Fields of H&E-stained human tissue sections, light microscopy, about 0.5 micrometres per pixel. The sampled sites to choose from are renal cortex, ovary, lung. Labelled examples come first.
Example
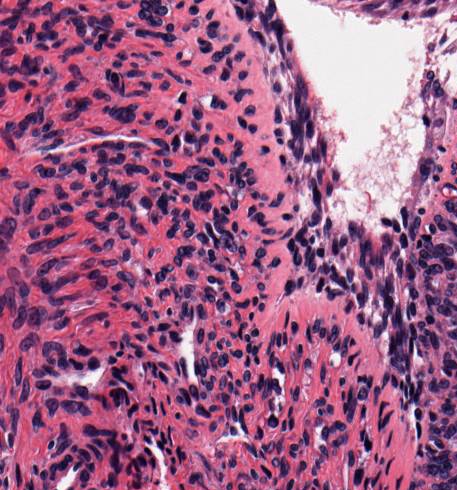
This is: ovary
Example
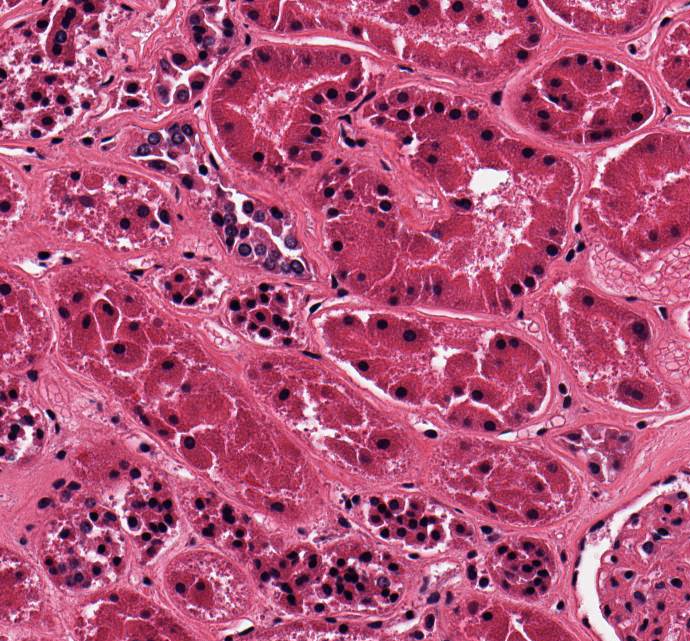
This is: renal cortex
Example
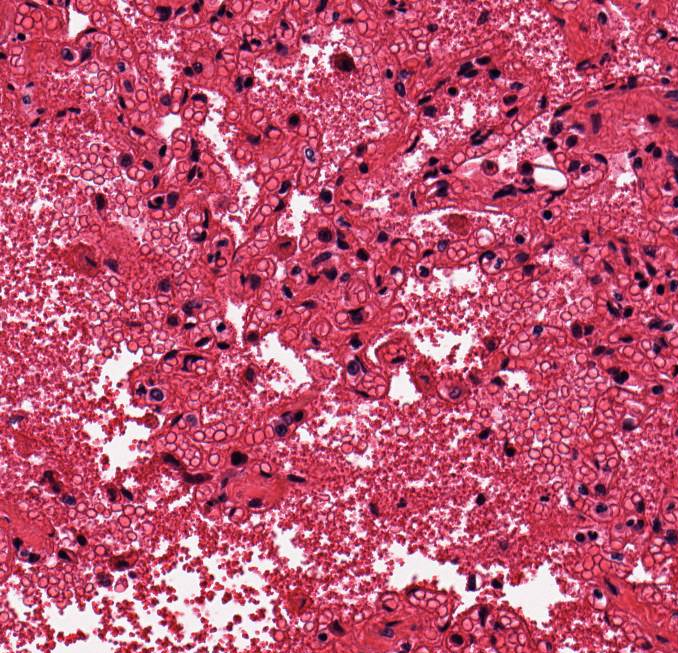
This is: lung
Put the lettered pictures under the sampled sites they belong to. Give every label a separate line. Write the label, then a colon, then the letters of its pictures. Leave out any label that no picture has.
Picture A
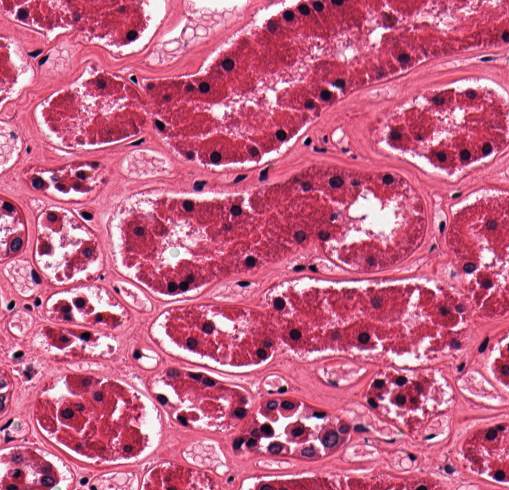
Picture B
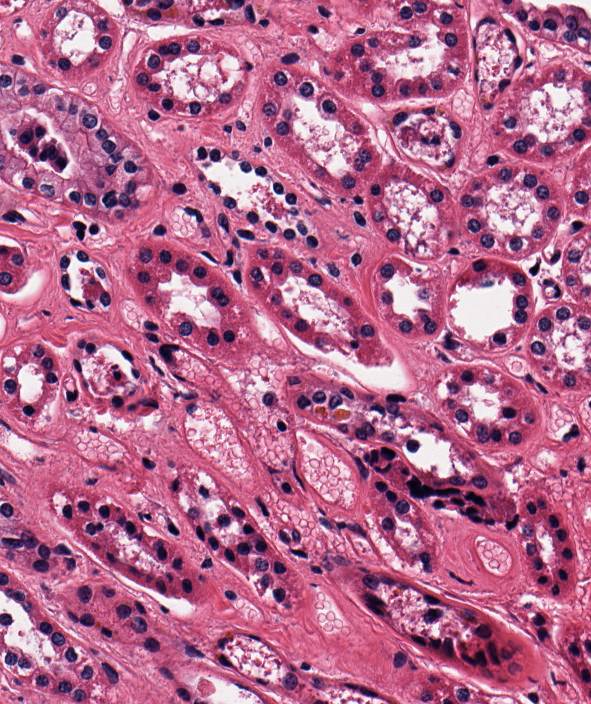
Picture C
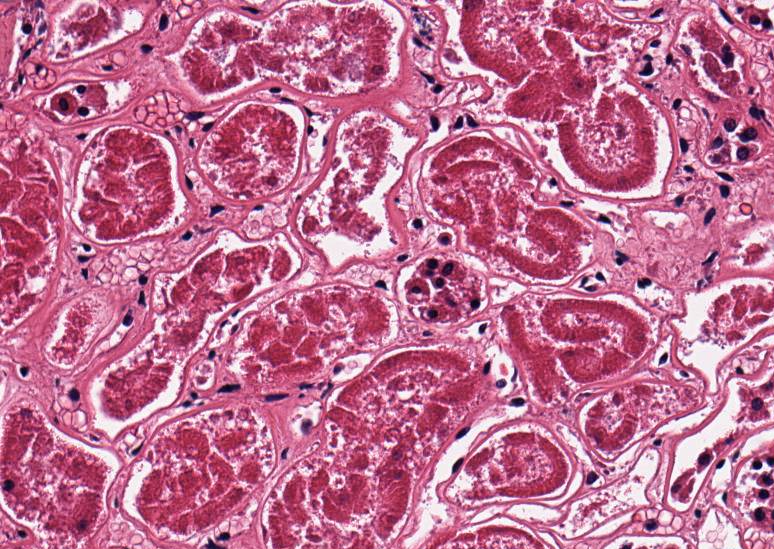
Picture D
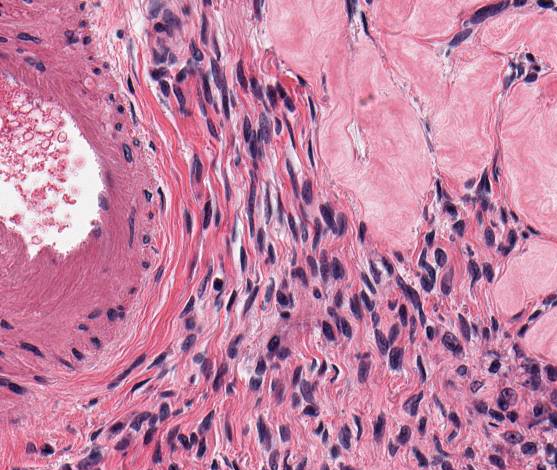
renal cortex: A, B, C
ovary: D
